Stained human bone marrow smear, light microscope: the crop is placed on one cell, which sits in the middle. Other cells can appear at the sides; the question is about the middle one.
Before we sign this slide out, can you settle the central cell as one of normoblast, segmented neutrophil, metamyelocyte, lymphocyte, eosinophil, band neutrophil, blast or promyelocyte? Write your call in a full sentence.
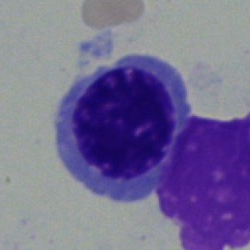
Within this crop, a normoblast occupies the central position.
